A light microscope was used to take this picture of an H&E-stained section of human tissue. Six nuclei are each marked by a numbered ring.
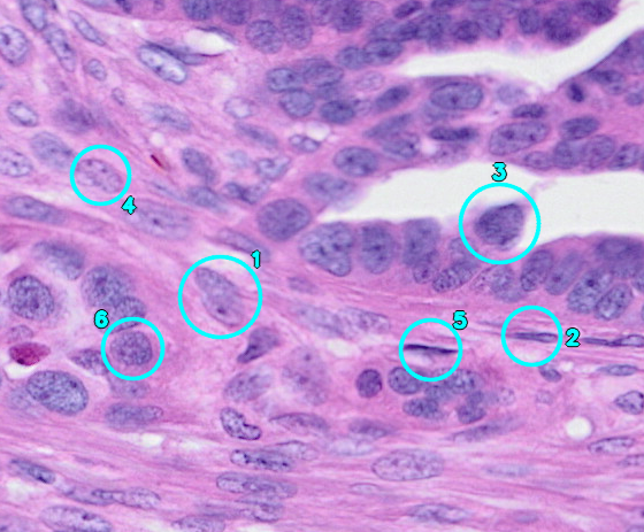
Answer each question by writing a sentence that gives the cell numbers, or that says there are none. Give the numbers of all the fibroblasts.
The cells to which the numbers 1, 2, 4 and 5 refer are fibroblasts.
